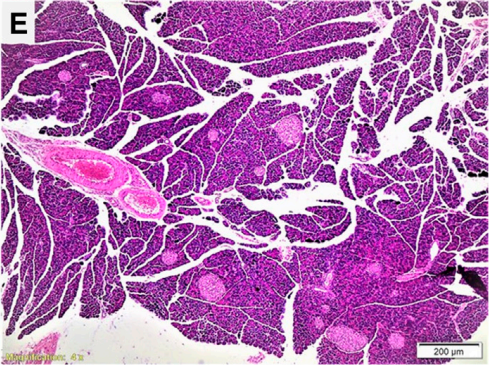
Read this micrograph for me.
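The lobules consist of densely packed acini that stain dark purple and are separated by thin, clear interlobular spaces. Numerous pale pink, round to oval islets lie embedded within the lobules, clearly lighter than the surrounding acinar tissue. In the interlobular tissue at the left lies a pair of vessels with thick pink walls and pink luminal content.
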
